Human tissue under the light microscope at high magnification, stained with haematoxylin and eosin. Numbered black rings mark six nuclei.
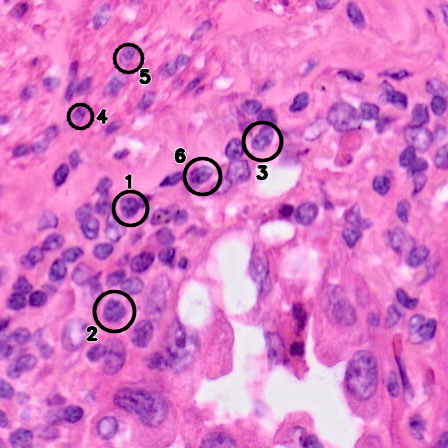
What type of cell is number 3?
lymphocyte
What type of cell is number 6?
lymphocyte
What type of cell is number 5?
smooth muscle cell or pericyte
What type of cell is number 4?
smooth muscle cell or pericyte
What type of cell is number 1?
lymphocyte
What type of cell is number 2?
lymphocyte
